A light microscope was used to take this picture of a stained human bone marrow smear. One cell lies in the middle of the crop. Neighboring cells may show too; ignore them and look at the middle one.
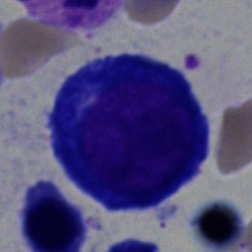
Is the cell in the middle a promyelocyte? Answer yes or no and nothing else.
no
